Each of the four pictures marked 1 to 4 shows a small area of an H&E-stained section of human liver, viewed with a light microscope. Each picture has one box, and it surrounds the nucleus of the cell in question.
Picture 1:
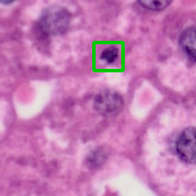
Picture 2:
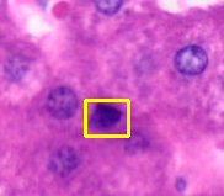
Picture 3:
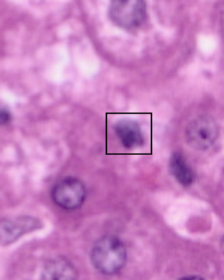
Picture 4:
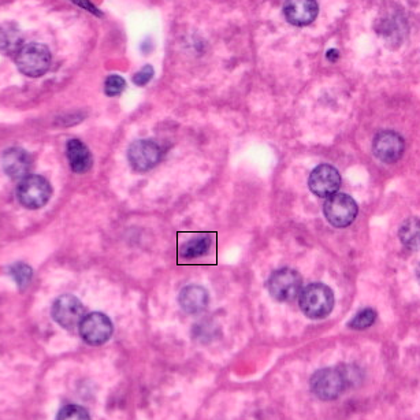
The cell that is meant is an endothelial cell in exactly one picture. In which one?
3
